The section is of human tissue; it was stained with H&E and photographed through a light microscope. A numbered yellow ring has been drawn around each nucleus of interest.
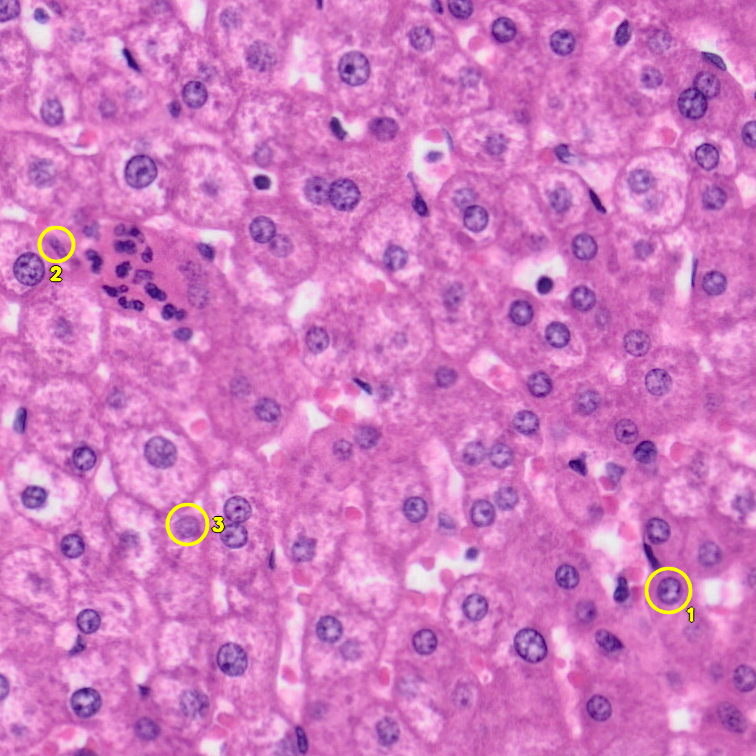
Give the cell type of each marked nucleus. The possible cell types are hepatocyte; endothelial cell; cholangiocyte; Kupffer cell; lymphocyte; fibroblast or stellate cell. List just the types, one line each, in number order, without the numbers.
hepatocyte
Kupffer cell
hepatocyte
